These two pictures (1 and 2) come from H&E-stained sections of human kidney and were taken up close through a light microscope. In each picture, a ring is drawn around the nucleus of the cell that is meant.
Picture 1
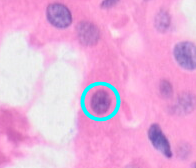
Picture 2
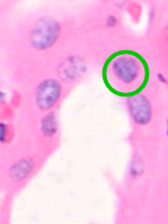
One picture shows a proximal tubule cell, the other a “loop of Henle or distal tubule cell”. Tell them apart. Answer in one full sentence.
Picture 2 shows a “loop of Henle or distal tubule cell”, while picture 1 shows a proximal tubule cell.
